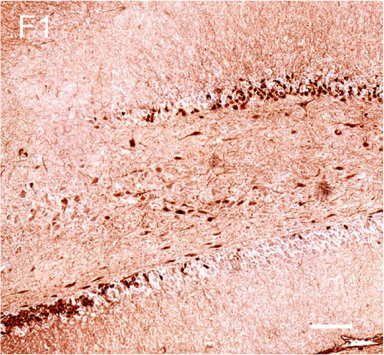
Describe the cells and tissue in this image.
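Two bands of densely packed neurons, one at the top and one at the bottom of the field, contain many dark-brown somata. In the pale zone between them lie scattered brown cells, some elongated with short processes. The matrix between cells shows only faint, fibrillar tan staining, so cells stand out as discrete dark profiles against a light background.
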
